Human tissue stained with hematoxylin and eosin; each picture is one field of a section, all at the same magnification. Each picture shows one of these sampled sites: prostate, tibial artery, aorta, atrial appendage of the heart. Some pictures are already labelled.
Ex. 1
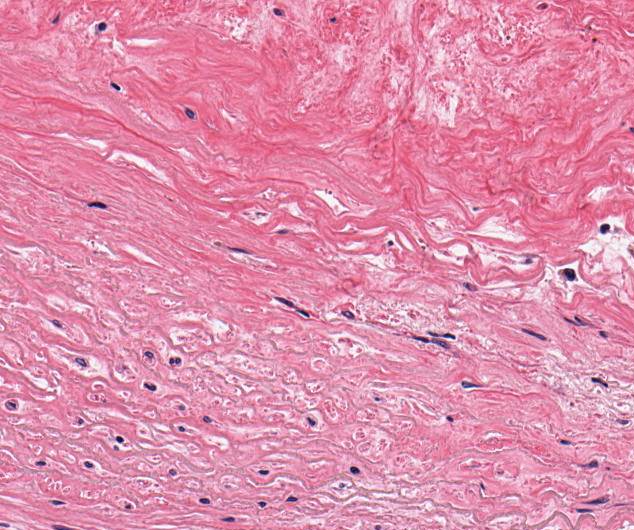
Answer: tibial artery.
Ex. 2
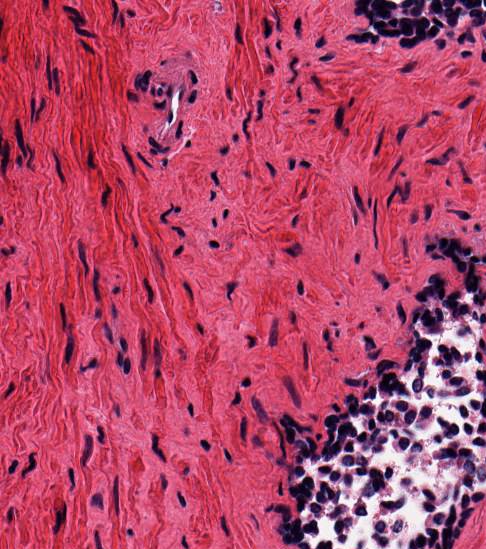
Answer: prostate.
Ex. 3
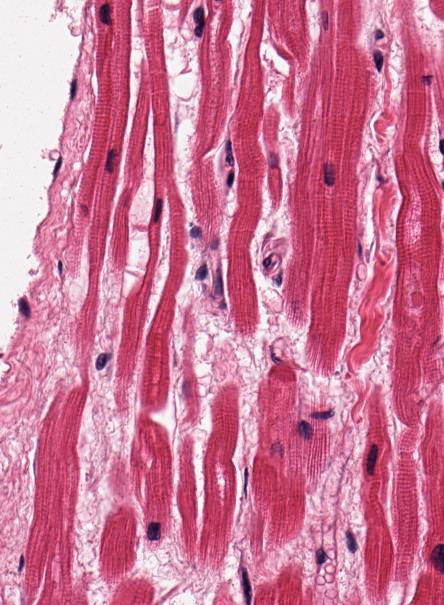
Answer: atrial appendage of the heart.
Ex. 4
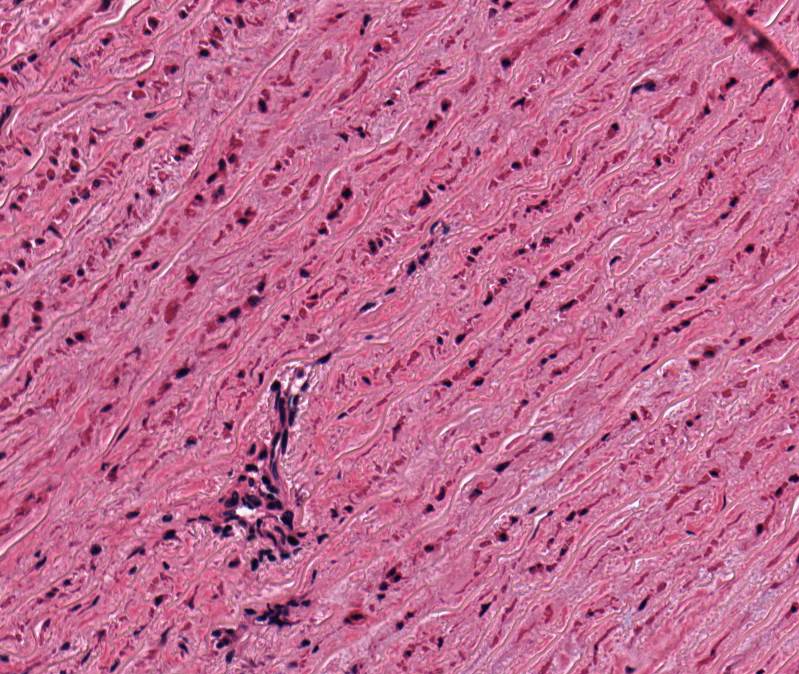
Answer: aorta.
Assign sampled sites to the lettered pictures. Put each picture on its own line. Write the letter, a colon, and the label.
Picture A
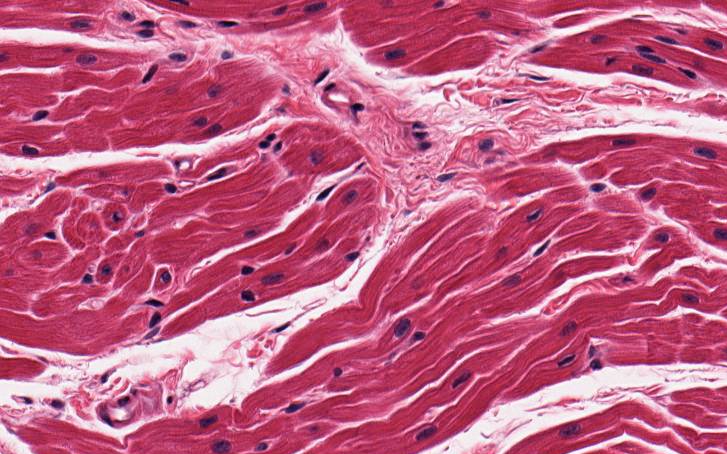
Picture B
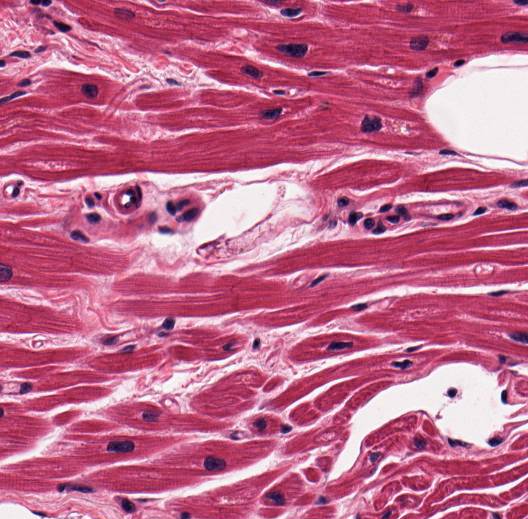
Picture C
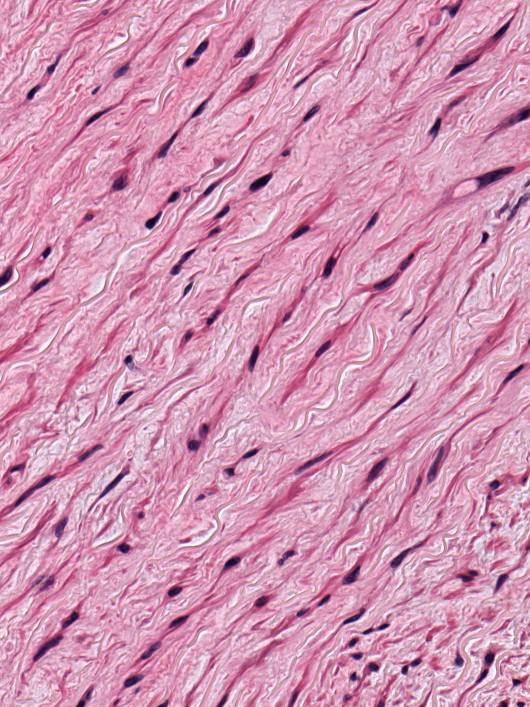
A: atrial appendage of the heart.
B: atrial appendage of the heart.
C: aorta.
